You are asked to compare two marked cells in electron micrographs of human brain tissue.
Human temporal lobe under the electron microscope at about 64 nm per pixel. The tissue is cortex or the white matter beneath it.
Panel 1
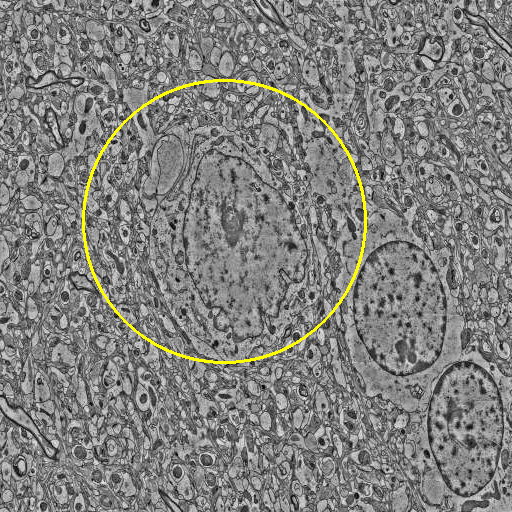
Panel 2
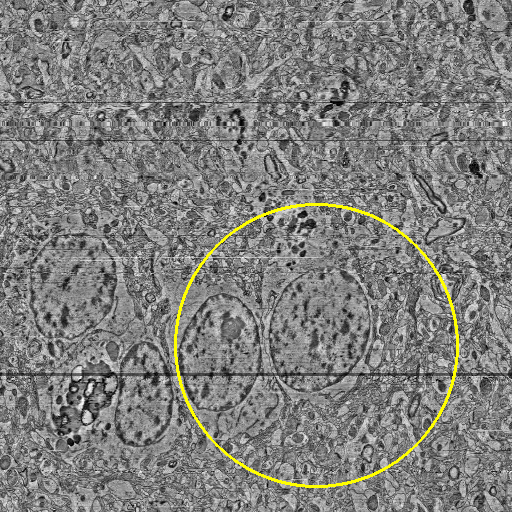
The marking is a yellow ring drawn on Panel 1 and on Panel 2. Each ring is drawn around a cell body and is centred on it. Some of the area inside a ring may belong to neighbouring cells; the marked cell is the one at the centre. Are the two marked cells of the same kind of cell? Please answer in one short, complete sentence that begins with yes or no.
No, the two marked cells are of two kinds.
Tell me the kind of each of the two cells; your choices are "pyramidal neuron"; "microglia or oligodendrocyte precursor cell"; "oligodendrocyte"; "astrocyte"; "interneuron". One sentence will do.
The ringed cell is an interneuron in the first picture and an astrocyte in the second picture.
